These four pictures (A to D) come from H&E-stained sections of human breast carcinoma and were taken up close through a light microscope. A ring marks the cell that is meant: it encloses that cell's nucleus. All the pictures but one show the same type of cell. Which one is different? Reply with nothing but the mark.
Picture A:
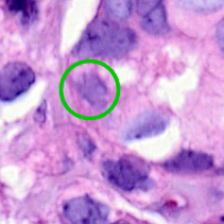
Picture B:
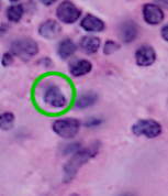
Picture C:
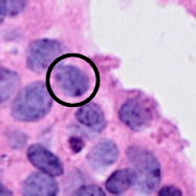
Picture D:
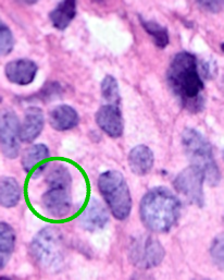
B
